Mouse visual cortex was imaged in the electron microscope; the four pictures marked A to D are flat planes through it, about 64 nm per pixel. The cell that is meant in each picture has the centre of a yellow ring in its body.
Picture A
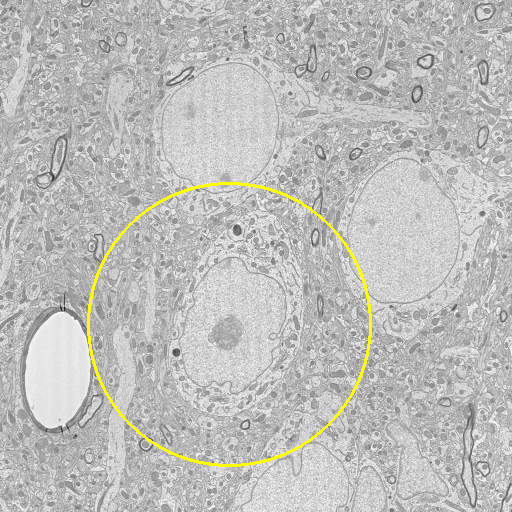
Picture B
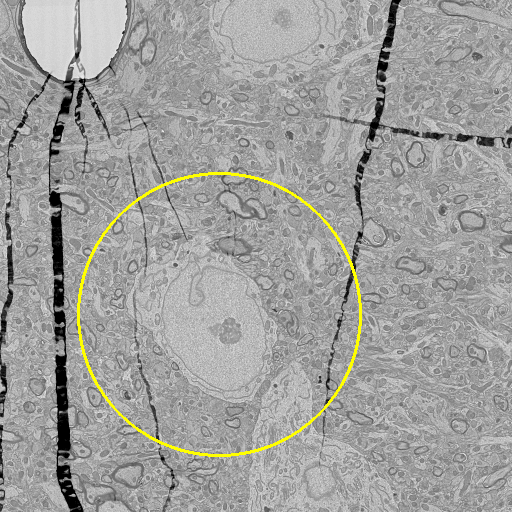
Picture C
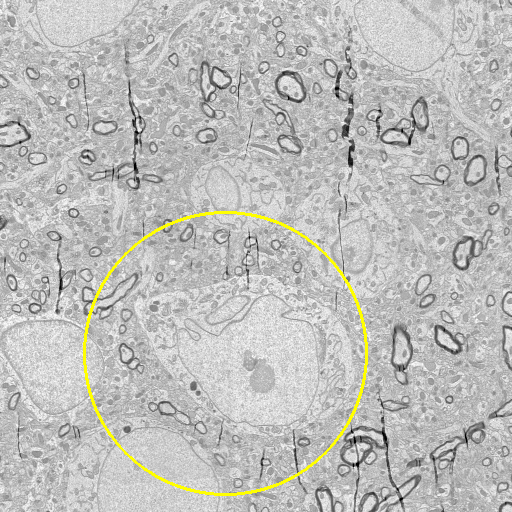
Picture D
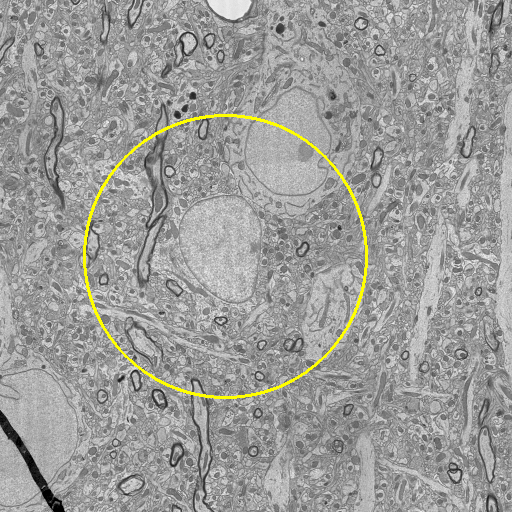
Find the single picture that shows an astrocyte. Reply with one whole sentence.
Picture D is the one that shows the astrocyte.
